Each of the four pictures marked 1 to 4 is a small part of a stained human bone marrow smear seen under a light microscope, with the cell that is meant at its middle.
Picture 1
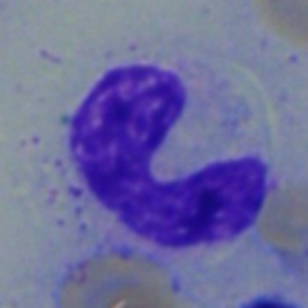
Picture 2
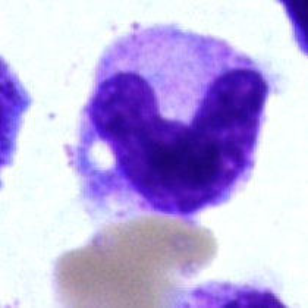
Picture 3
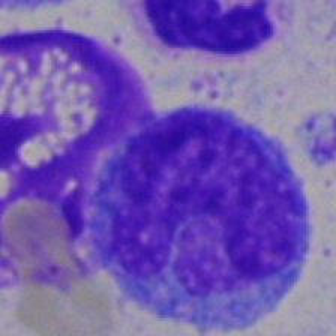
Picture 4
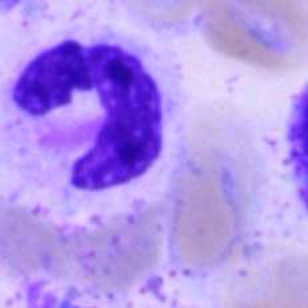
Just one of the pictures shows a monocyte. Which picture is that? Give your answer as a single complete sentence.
Picture 3 shows the monocyte.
